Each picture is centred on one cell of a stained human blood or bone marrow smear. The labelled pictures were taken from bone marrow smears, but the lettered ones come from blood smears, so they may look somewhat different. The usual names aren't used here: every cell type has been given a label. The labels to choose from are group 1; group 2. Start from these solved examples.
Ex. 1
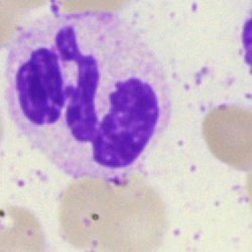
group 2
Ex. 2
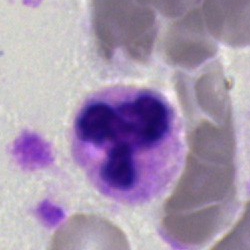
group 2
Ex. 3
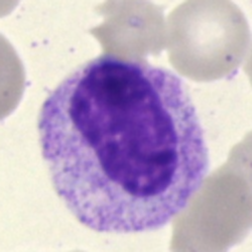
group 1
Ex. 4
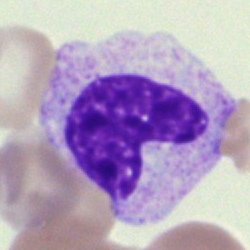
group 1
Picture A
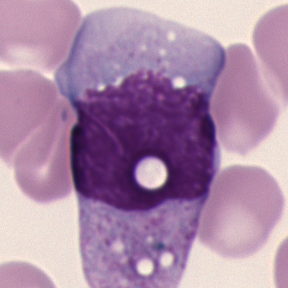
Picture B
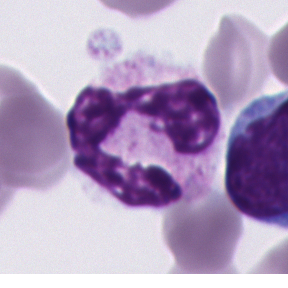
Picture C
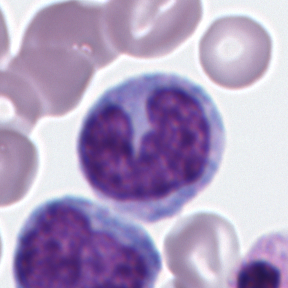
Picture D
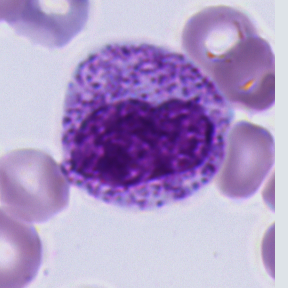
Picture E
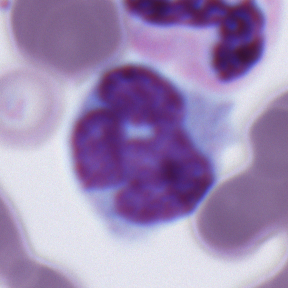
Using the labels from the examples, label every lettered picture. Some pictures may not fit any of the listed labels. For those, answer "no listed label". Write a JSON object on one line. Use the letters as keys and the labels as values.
{"A": "no listed label", "B": "group 2", "C": "no listed label", "D": "group 1", "E": "no listed label"}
